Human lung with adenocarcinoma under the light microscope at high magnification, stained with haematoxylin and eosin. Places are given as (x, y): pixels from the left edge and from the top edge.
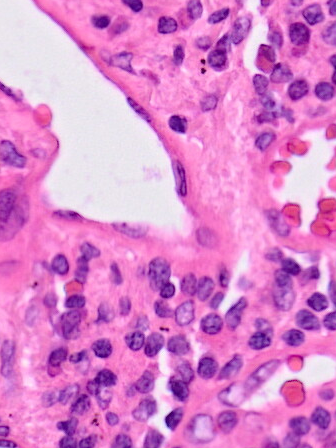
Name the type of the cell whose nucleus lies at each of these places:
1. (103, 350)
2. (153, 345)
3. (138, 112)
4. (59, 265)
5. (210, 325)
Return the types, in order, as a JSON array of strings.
["lymphocyte", "lymphocyte", "endothelial cell", "mast cell", "mast cell"]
